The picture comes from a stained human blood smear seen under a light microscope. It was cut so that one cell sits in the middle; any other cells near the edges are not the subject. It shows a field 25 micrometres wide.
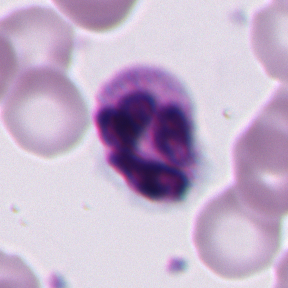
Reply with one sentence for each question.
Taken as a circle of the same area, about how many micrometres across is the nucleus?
The diameter of the nucleus comes to about 8 micrometres.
